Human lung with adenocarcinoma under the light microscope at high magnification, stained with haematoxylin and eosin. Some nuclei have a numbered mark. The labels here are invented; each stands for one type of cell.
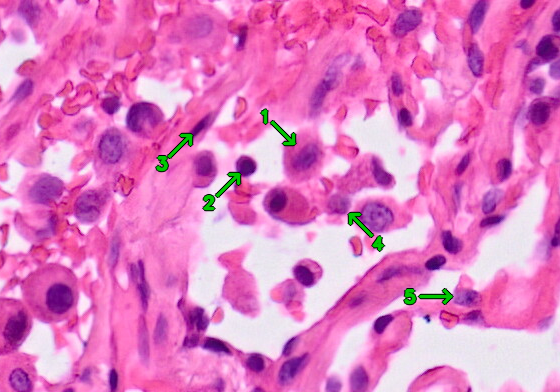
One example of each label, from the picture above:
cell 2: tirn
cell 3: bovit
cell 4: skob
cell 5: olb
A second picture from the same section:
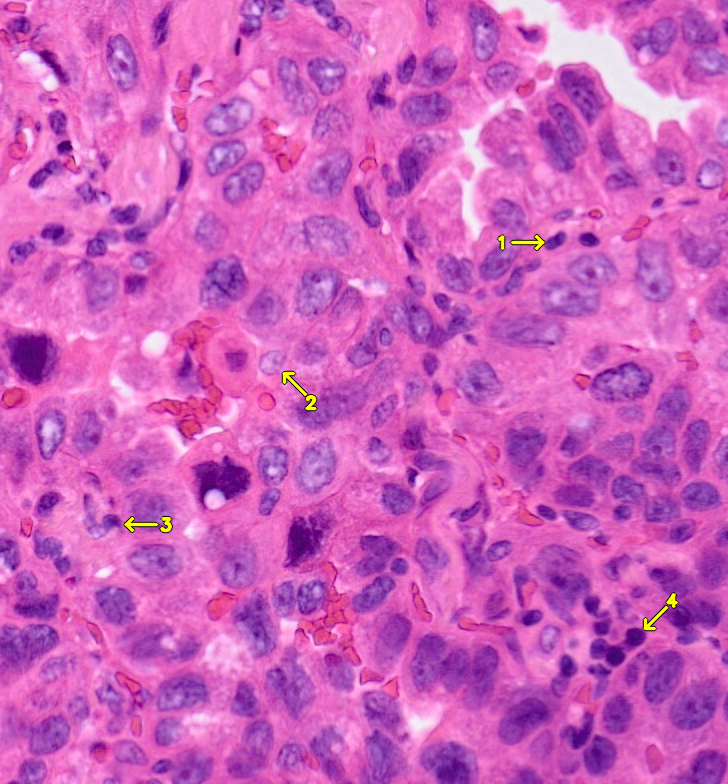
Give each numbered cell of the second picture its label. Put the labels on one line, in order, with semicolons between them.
tirn; skob; tirn; tirn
